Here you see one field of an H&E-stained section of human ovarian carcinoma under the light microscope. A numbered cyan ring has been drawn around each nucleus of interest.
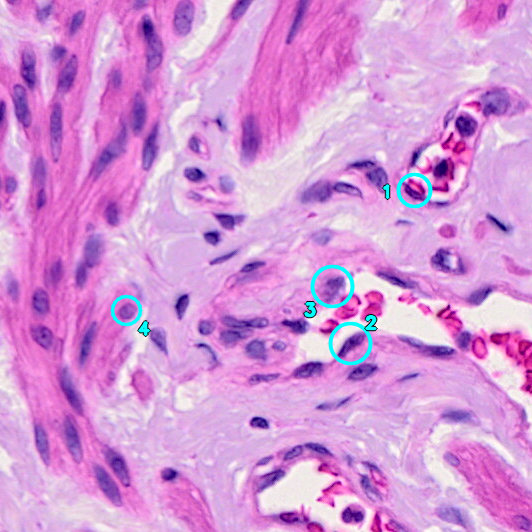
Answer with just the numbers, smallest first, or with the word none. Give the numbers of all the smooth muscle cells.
4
